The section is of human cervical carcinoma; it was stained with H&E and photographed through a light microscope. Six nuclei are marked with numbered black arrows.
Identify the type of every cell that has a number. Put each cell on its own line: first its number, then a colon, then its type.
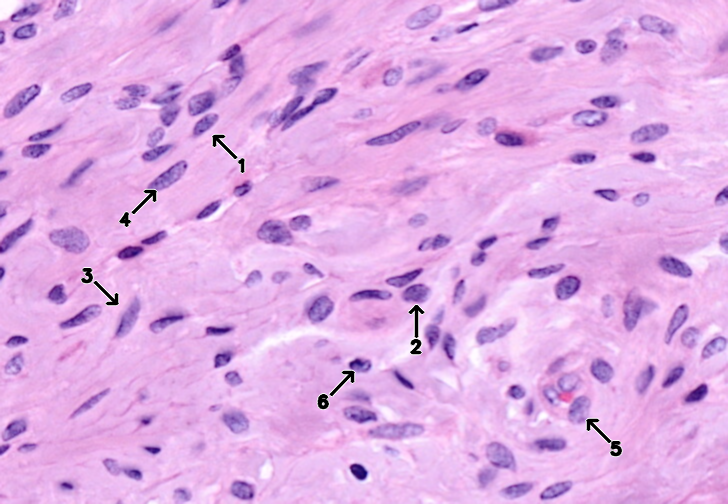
1: fibroblast
2: fibroblast
3: fibroblast
4: fibroblast
5: endothelial cell
6: lymphocyte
